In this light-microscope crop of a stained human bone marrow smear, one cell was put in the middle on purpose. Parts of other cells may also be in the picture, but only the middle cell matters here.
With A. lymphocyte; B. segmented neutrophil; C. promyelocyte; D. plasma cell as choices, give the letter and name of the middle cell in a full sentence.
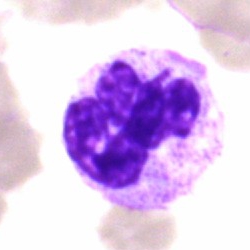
The cell shown centrally is a segmented neutrophil; option B is the correct option.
